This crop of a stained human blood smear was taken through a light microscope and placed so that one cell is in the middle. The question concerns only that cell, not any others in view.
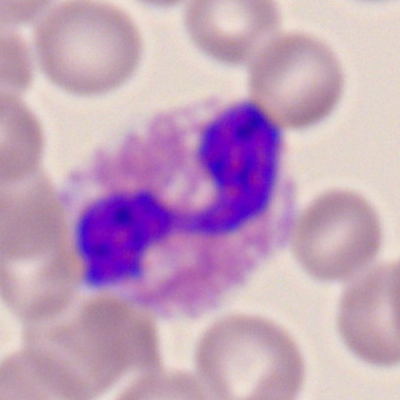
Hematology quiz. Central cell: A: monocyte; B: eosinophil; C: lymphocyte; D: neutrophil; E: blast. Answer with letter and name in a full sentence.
It is an eosinophil that occupies the centre of the crop, so option B is correct.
